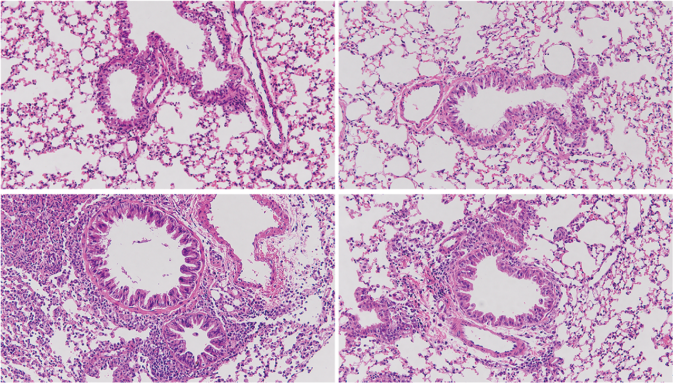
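Four fields of lung stained pink and purple, each centred on a small airway cut across, lined by pink-staining epithelium with purple nuclei, surrounded by thin-walled air spaces. In the top two fields the airway wall is thin, and little lies around it. In the bottom fields the airway lining is taller and folded. Dense crowds of small cells with dark purple nuclei gather around the airways and nearby vessels and spill into the surrounding lung. These crowds are heaviest in the lower left field, where they fill much of the tissue between the airways. They are lighter in the lower right field.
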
